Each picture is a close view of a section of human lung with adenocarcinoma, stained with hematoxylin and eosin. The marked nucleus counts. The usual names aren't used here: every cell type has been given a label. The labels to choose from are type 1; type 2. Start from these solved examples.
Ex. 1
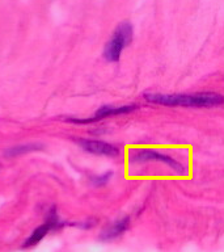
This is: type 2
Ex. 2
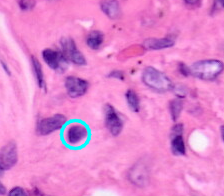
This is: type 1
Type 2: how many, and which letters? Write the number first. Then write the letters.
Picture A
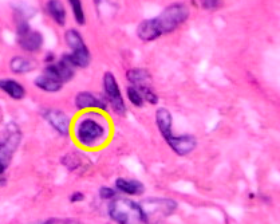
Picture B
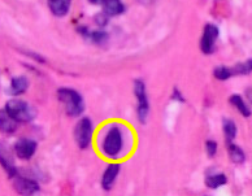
0, none of them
